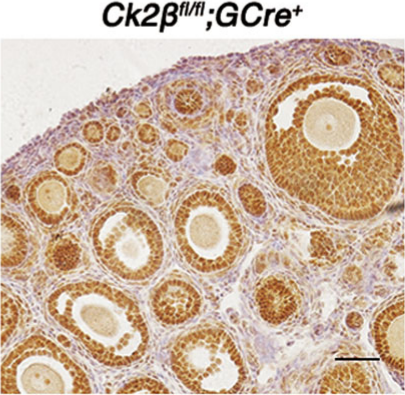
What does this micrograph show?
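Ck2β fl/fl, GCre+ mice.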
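The oocytes here are pale beige, much lighter than the small cells that surround them. Those surrounding cells form several tightly packed layers with round nuclei that stain strongly brown. Some larger follicles contain clear fluid-filled spaces, and smaller follicles crowd the edge near the surface. The stroma between follicles is pale and bluish.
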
